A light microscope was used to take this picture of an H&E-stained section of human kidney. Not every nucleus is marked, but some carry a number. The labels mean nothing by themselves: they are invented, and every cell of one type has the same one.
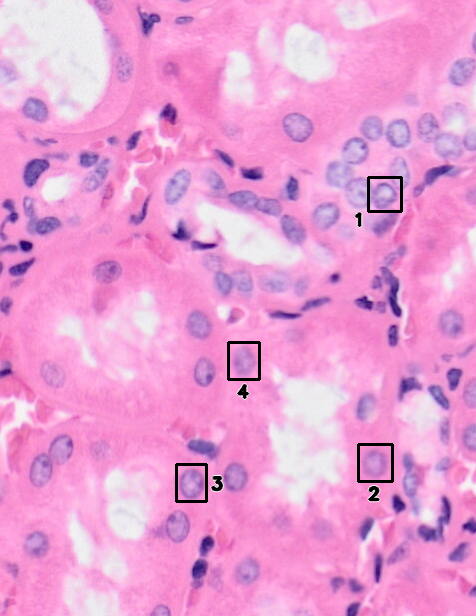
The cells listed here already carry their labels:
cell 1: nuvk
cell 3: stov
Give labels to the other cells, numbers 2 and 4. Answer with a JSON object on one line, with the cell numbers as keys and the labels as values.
{"2": "stov", "4": "stov"}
